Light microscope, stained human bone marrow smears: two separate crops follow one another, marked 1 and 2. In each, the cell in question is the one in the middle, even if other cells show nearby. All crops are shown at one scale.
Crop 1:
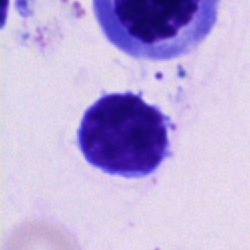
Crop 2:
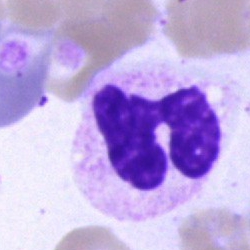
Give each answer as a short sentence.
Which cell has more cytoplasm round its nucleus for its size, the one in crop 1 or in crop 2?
It is the cell in crop 2 that is filled less by its nucleus.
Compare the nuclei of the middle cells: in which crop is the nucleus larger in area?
Crop 2 shows the larger nucleus; it covers about 2 times the area of the nucleus in crop 1.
